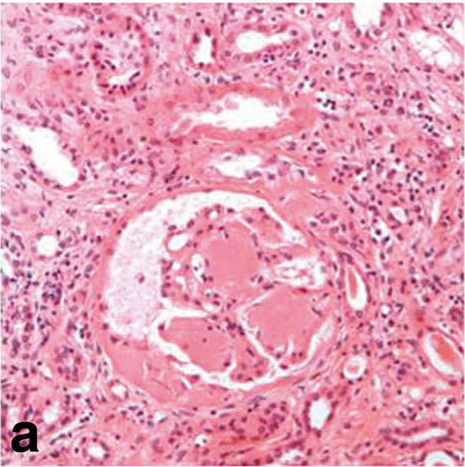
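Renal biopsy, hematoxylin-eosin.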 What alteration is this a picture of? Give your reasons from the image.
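Segmental deposits of eosinophilic amorphous hyaline material. The round glomerulus in the lower middle holds large pale-pink, acellular, smooth masses. The pink masses have few nuclei within them.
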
